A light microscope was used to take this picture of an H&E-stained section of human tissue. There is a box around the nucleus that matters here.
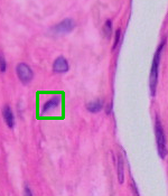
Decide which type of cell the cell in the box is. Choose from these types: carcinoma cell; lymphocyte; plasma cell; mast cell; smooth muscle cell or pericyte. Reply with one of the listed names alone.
smooth muscle cell or pericyte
